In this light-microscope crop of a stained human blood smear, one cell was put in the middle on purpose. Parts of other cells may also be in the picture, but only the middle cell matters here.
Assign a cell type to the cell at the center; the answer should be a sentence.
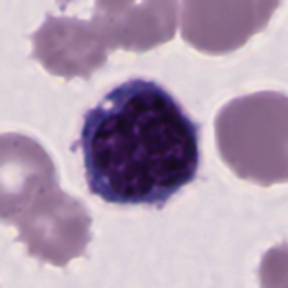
This crop's central cell is a plasma cell.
